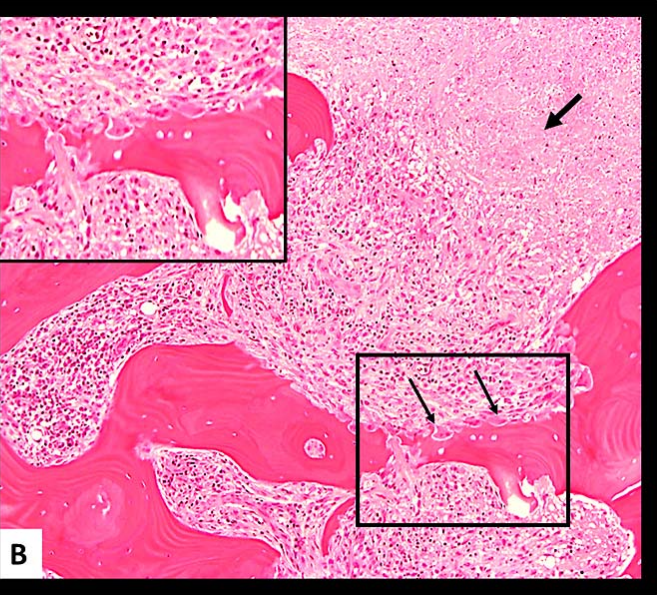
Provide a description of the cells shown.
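Broad trabeculae of deep pink bone are separated by dense cellular tissue crowded with small dark round nuclei among larger paler cells, and in the upper right a paler, washed-out area with few distinct nuclei. Where the cellular tissue abuts the bone, the bone surface is irregular and scalloped. This is a mixed macrophage and lymphocytic infiltrate pushing against bone with a front of osteoclastic activity, next to an area of necrotic tissue.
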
